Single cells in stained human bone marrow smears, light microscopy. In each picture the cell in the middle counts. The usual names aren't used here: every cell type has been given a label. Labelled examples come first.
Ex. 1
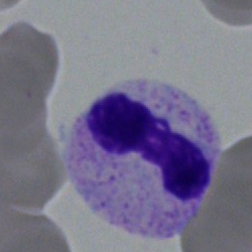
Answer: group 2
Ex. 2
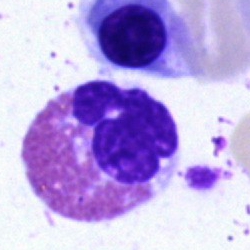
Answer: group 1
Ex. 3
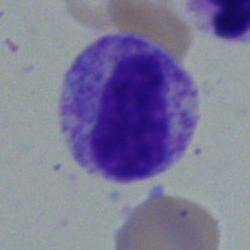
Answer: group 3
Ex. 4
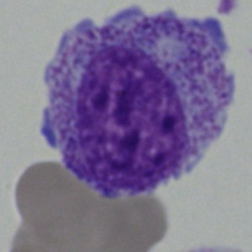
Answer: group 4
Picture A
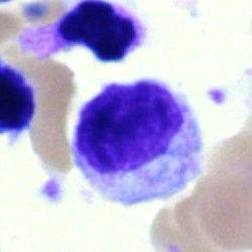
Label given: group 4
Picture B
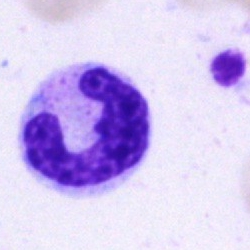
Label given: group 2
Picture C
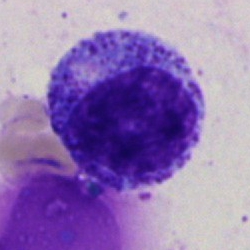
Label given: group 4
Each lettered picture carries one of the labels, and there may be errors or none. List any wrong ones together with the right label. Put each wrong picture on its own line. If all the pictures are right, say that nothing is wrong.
All correct.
